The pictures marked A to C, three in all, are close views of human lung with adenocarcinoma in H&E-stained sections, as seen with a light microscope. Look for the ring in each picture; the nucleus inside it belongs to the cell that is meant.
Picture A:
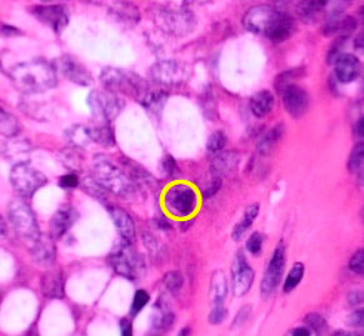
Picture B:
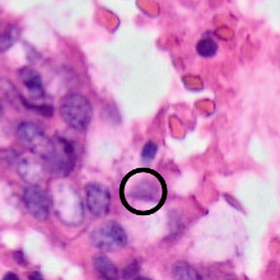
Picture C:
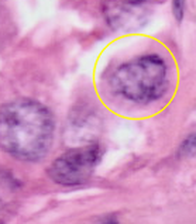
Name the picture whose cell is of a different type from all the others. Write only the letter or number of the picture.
C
